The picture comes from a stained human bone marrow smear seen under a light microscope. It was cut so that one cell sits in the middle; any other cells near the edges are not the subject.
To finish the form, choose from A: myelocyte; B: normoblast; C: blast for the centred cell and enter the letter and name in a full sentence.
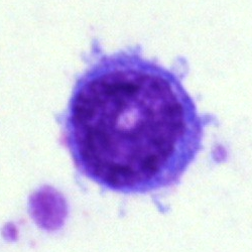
Option C correctly names the cell in the middle as a blast.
